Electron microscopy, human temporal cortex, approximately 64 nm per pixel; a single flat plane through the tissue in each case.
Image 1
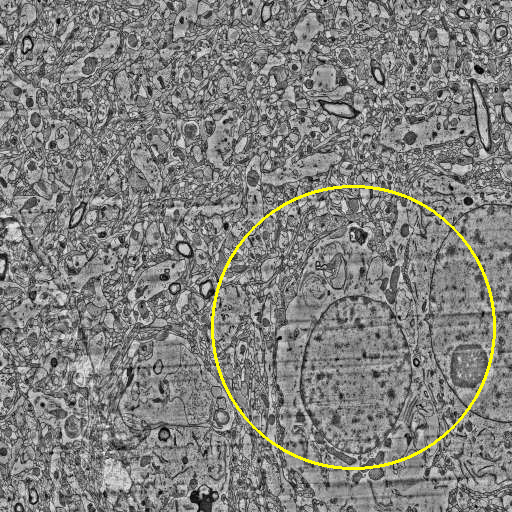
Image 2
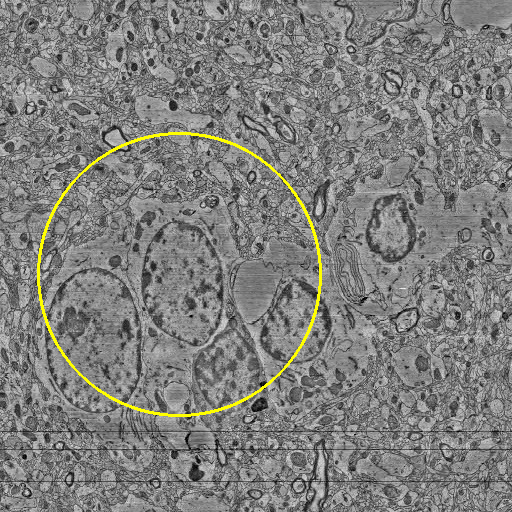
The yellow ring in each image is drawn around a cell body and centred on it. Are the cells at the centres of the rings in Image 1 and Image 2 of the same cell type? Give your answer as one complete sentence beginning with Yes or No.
Yes, both cells are of the same type.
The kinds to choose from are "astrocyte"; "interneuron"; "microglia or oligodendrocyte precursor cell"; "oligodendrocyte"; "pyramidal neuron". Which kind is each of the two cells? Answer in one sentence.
In each picture the ringed cell is an astrocyte.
